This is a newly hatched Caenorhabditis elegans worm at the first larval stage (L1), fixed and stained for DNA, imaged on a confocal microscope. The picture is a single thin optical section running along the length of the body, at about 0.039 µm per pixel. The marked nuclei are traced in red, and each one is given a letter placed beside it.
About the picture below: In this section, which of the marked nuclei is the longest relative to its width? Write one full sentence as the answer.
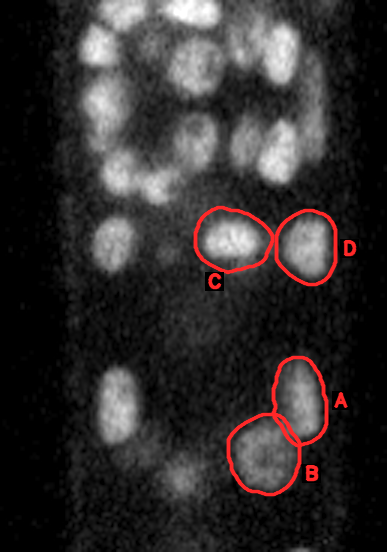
A is the most elongated.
